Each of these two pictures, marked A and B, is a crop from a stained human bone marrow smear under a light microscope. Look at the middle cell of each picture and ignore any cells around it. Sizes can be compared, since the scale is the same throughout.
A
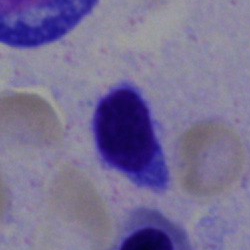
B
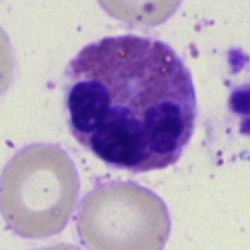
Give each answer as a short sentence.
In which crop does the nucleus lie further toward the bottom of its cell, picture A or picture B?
In picture B the nucleus is shifted more toward the bottom.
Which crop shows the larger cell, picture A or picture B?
It is the cell in picture B, about 2.5 times as large in area as the cell in picture A.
